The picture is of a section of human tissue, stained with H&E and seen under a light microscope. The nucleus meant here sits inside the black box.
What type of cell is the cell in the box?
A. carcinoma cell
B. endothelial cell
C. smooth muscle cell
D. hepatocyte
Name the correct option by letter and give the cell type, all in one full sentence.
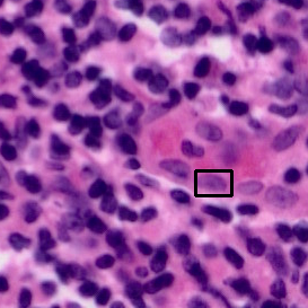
The correct option is B, as the cell in the box is an endothelial cell.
